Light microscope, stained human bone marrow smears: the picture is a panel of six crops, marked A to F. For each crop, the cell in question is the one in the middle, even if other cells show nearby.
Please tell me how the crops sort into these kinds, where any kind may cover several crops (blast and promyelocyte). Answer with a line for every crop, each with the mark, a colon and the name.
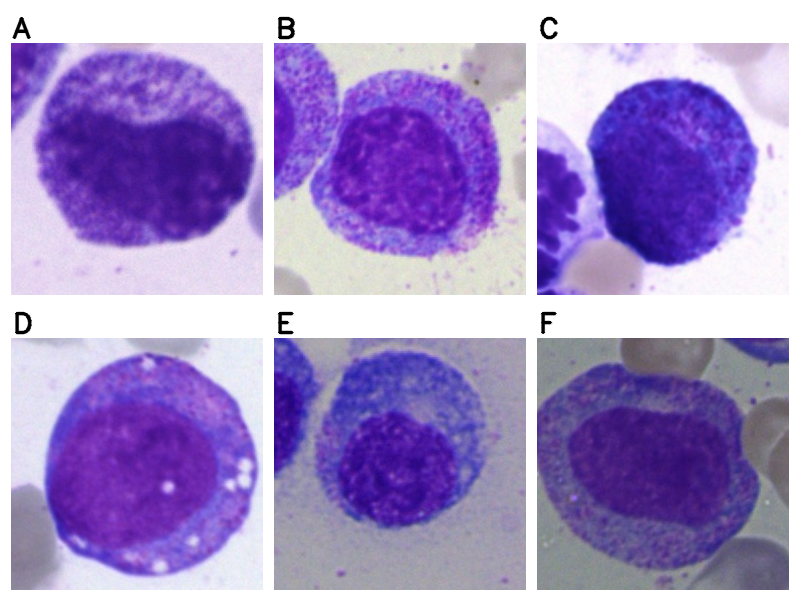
A: promyelocyte
B: promyelocyte
C: promyelocyte
D: blast
E: promyelocyte
F: promyelocyte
